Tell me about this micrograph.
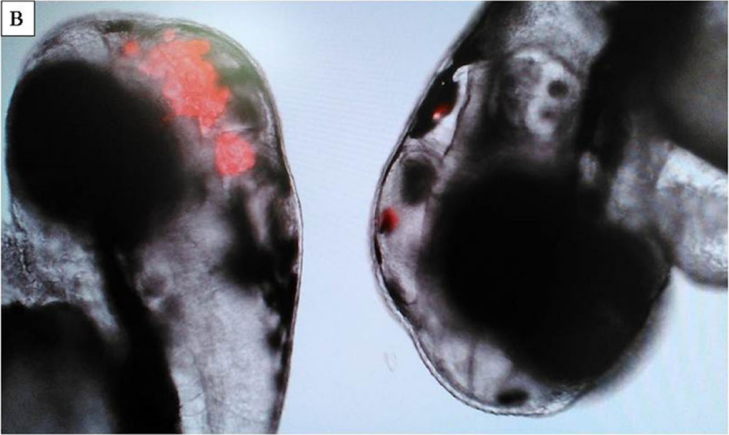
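Two fish embryos are seen in brightfield with red fluorescence laid over them, each head with a large dark eye. In the left embryo a cluster of bright red blobs fills the dorsal head above and behind the eye, the region of the brain. The blobs are irregular and of varied size, packed together rather than spread through the body. The right embryo shows only a couple of small red spots near the edge of its head.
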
